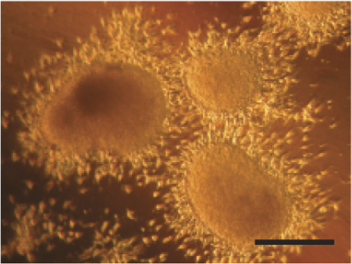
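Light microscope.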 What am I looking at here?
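Several large oval, compact multicellular masses sit on a smooth matrix, each fringed by a dense halo of elongated cells. The cells at the edges are spindle-shaped and point outward, many already detached and lying scattered between the masses.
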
